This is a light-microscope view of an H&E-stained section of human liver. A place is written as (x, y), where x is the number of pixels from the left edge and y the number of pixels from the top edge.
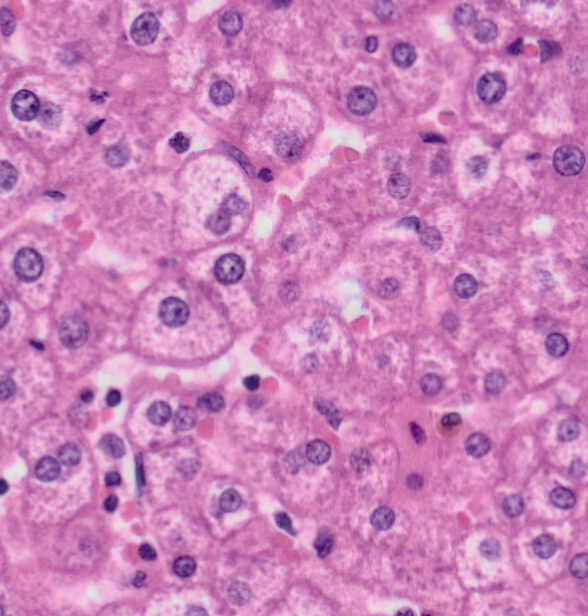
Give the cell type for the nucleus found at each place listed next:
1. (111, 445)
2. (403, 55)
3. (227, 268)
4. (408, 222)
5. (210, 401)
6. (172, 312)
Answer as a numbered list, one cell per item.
1. Kupffer cell
2. hepatocyte
3. hepatocyte
4. endothelial cell
5. Kupffer cell
6. hepatocyte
